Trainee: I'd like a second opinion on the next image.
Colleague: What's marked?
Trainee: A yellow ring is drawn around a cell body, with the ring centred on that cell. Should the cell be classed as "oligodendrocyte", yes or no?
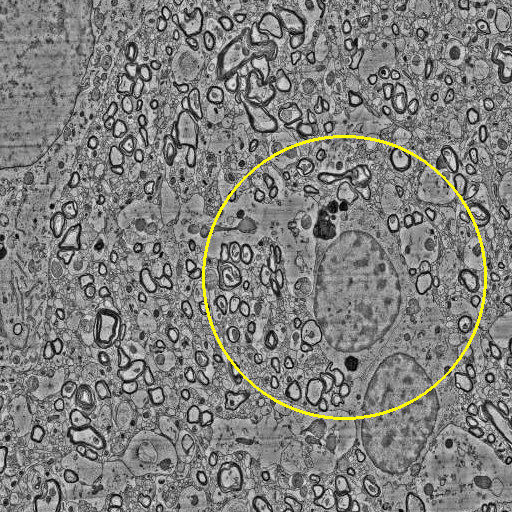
Yes, it should.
